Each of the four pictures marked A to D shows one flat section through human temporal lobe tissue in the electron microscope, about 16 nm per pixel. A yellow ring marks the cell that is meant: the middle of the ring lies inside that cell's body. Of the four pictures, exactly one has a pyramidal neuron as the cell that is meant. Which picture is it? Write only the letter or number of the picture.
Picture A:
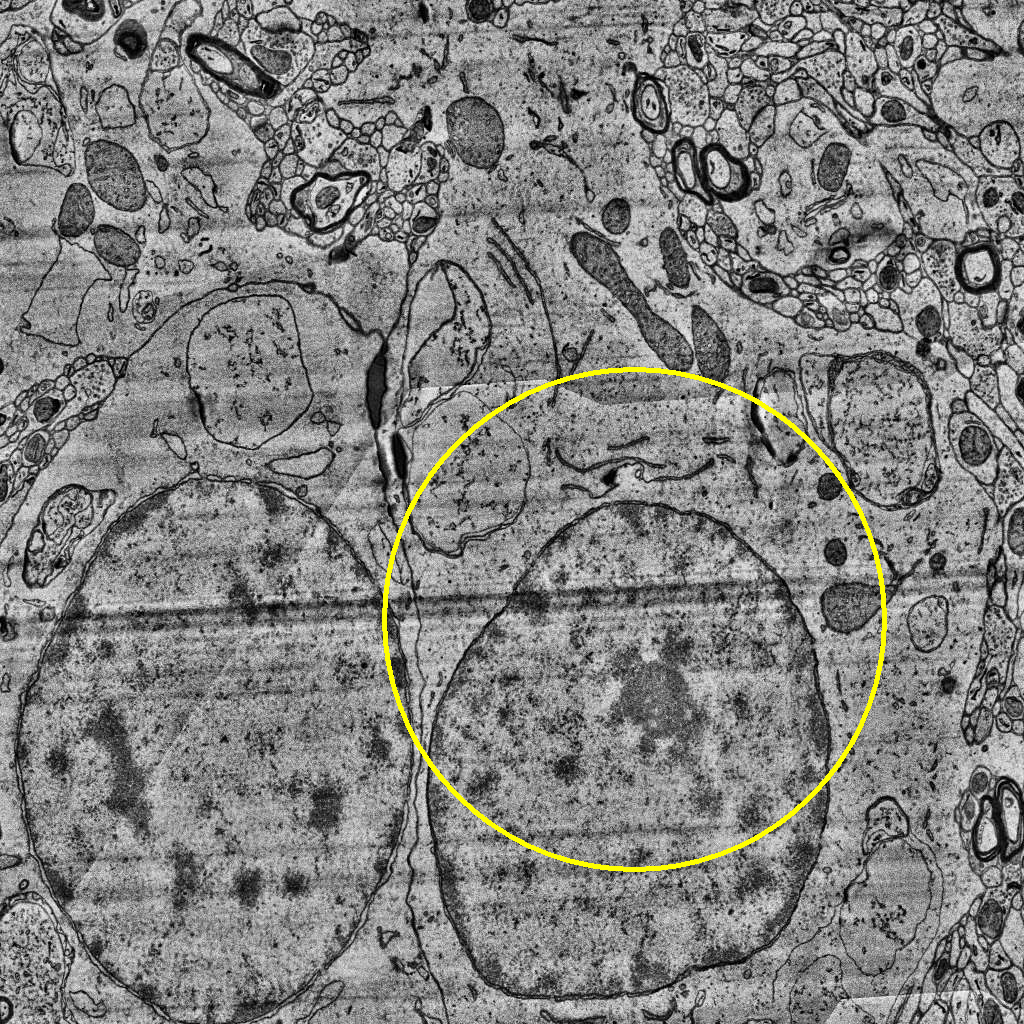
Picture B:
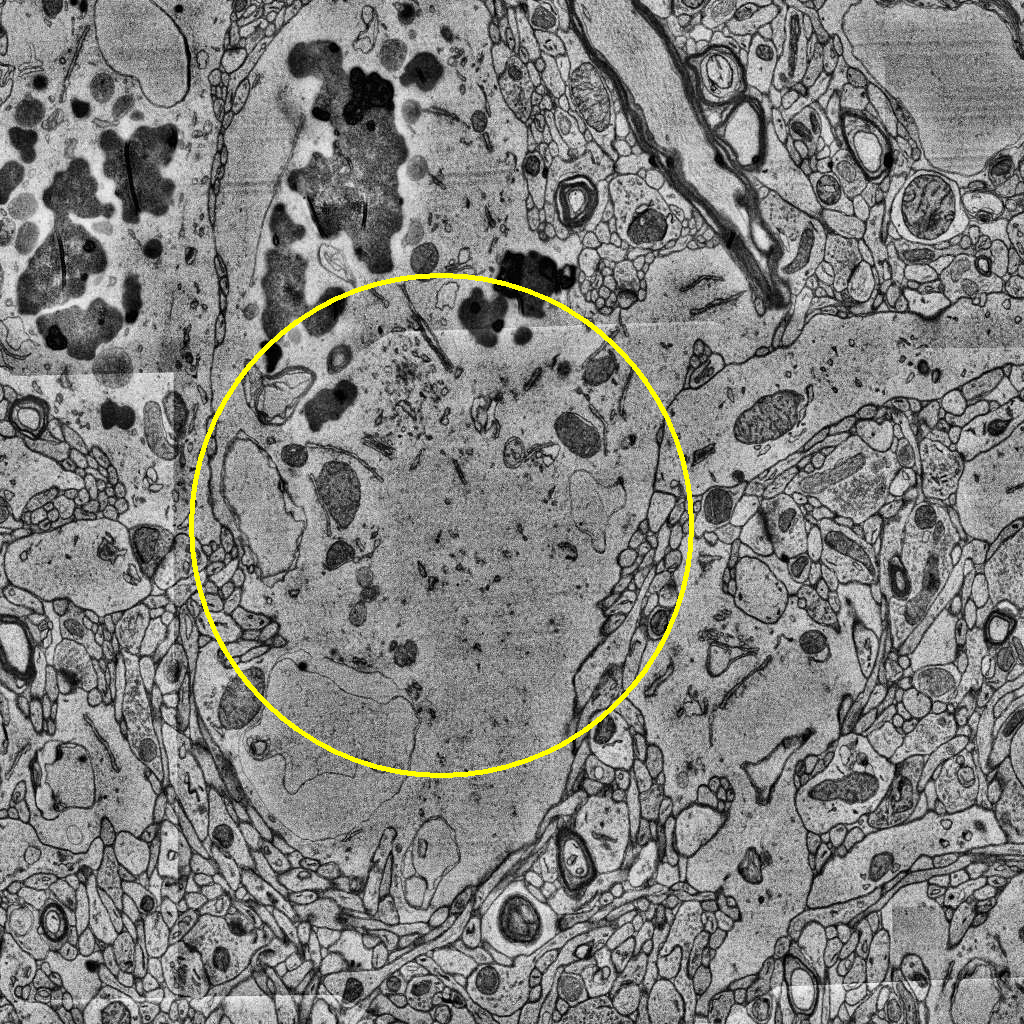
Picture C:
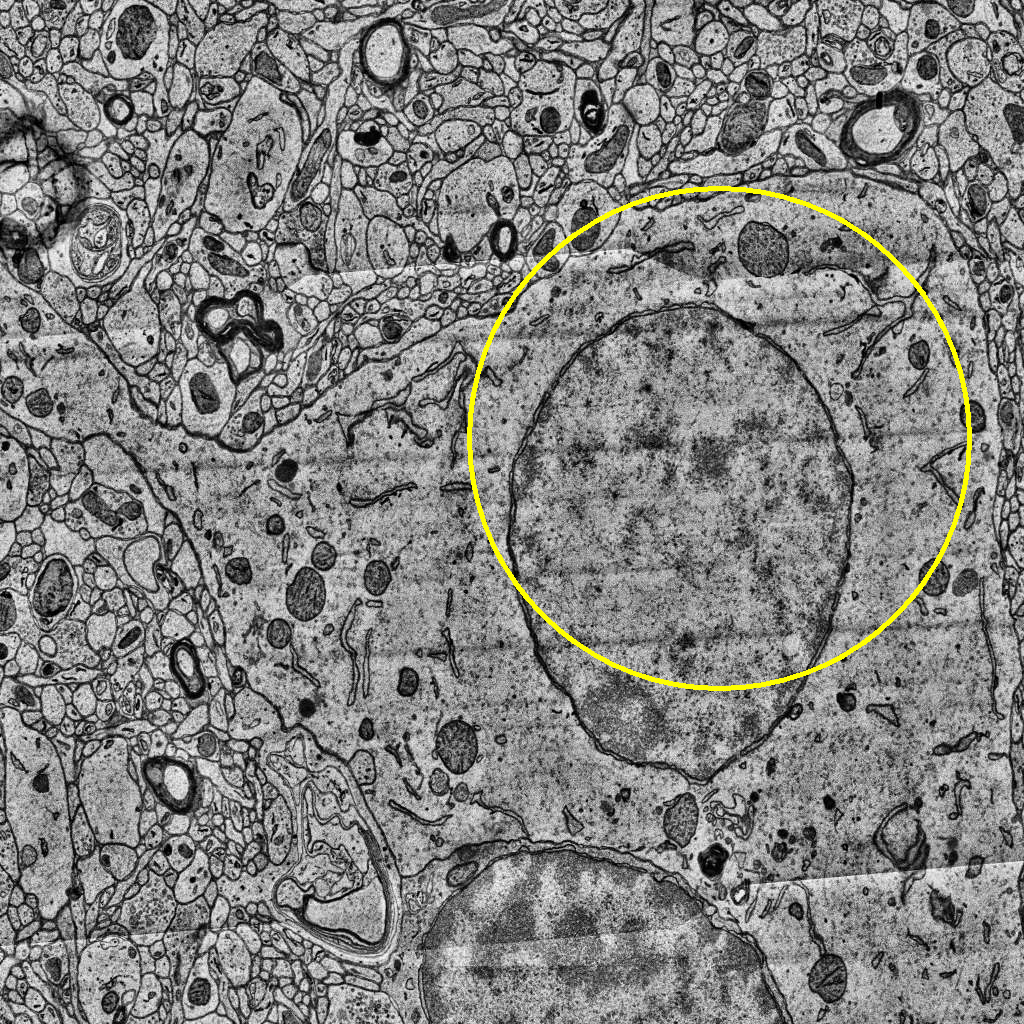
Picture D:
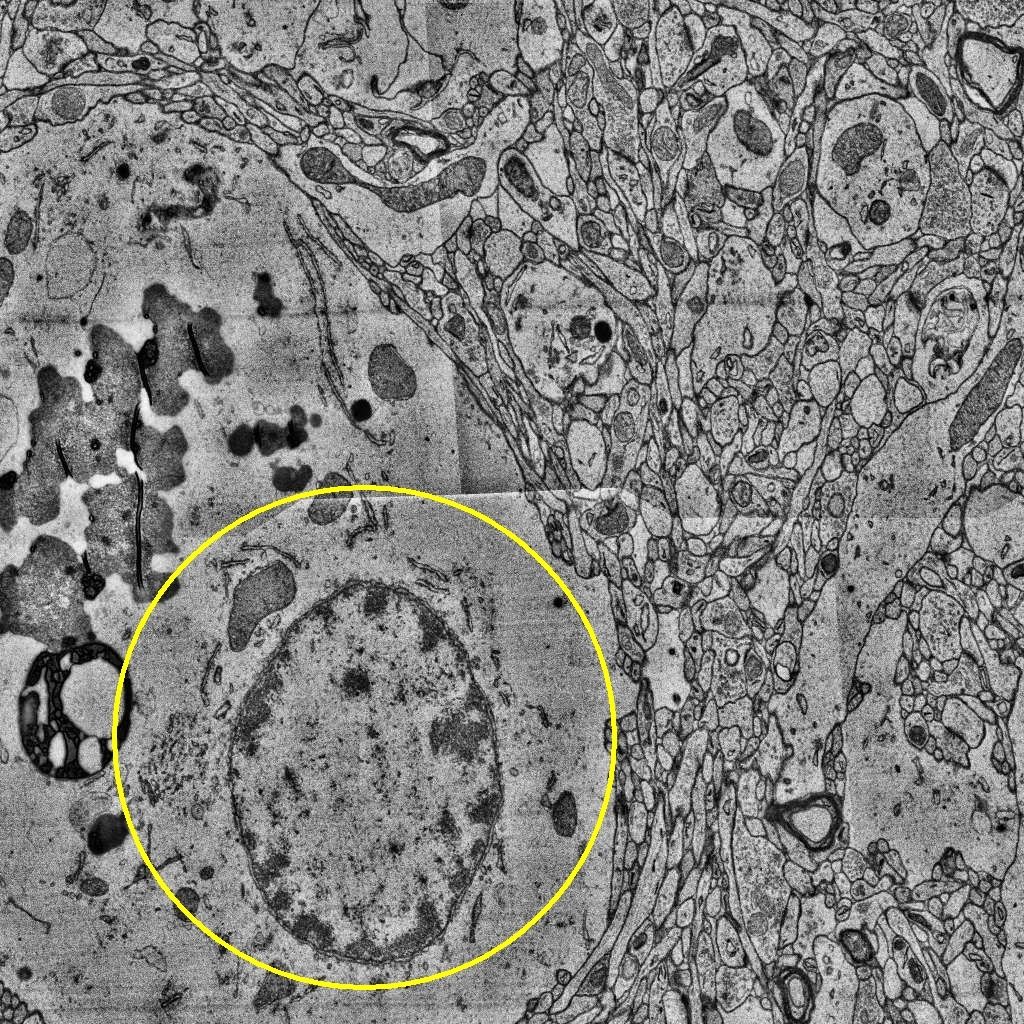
C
